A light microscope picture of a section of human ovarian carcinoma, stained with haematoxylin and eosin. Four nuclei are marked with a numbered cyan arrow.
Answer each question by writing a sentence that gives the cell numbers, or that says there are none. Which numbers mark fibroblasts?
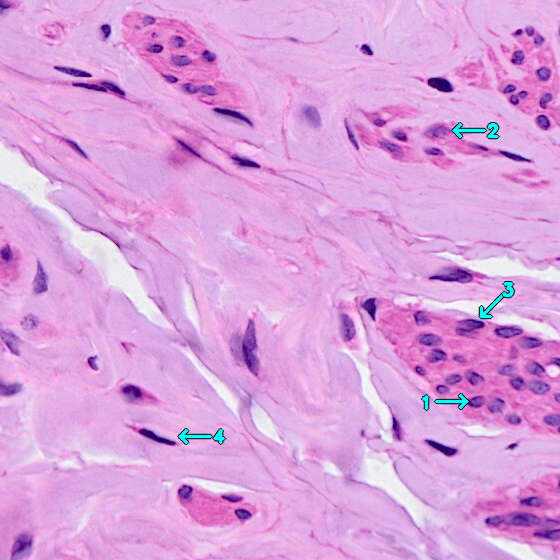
Only number 4 of the marked cells is a fibroblast.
